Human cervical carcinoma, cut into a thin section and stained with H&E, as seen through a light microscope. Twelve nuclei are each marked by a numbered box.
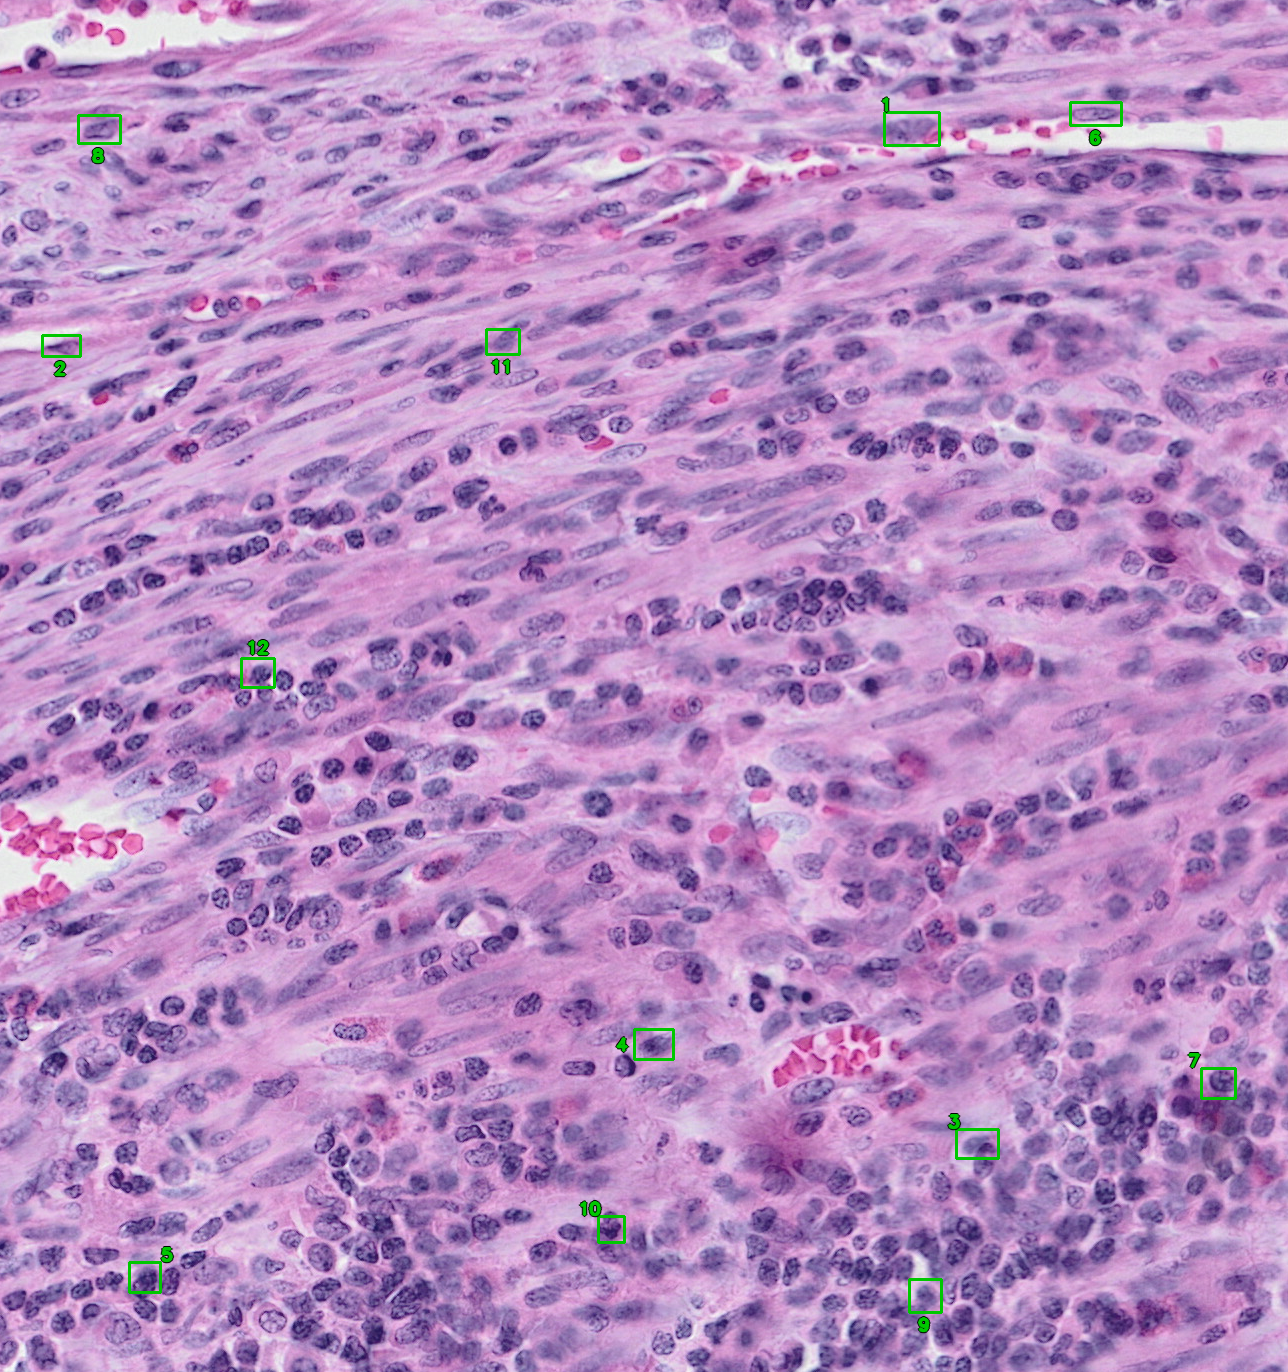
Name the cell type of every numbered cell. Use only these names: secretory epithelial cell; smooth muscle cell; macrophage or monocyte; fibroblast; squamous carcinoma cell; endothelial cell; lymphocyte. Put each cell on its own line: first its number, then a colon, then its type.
1: endothelial cell
2: endothelial cell
3: lymphocyte
4: lymphocyte
5: lymphocyte
6: endothelial cell
7: lymphocyte
8: macrophage or monocyte
9: lymphocyte
10: lymphocyte
11: smooth muscle cell
12: lymphocyte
